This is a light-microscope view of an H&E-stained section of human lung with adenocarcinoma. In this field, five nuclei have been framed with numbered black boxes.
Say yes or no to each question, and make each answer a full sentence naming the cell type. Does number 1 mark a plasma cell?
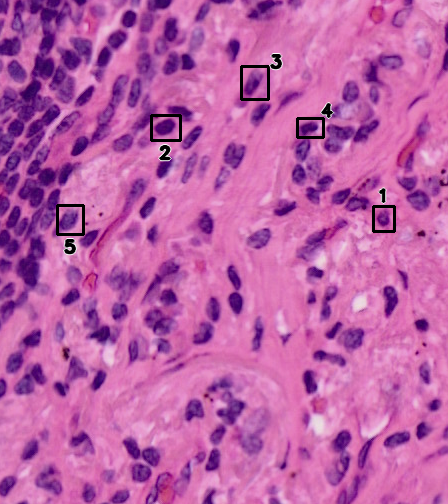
No, the cell denoted 1 is a mast cell rather than a plasma cell.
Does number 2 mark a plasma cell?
Yes, so the cell at label 2 is a plasma cell.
